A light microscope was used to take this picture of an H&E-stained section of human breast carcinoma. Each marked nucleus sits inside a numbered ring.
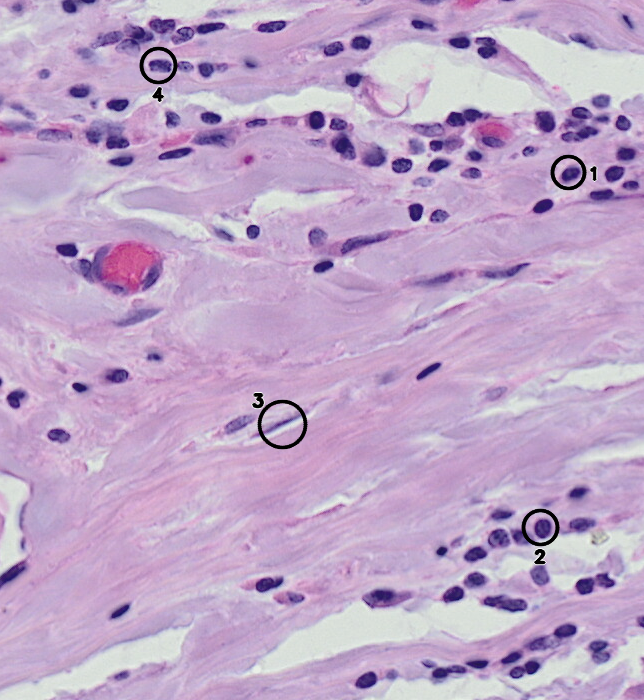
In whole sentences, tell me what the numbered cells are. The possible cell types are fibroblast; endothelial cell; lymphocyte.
Cells 1, 2 and 4 are lymphocytes. Cell 3 is a fibroblast.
